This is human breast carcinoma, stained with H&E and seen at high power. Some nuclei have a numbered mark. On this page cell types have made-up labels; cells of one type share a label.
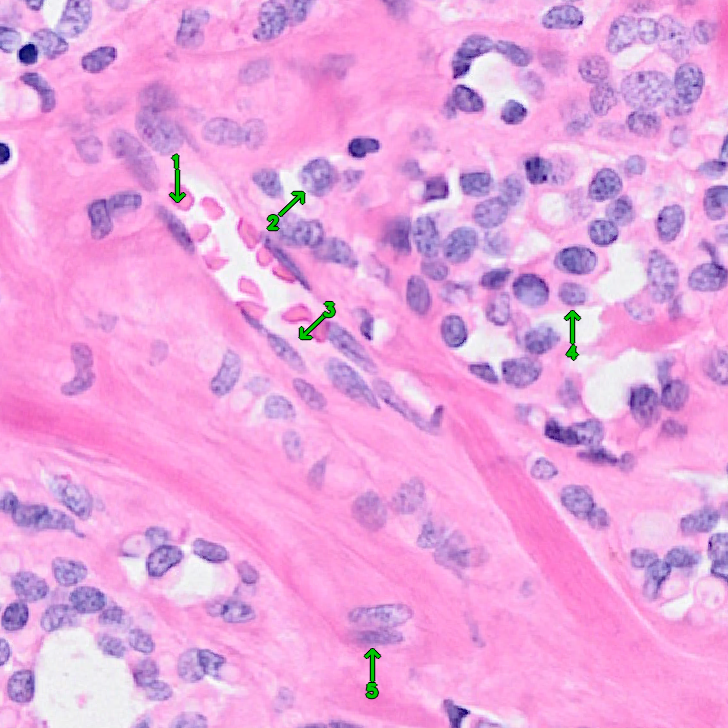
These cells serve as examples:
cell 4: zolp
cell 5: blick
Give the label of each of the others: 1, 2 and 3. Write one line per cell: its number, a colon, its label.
1: blick
2: zolp
3: blick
